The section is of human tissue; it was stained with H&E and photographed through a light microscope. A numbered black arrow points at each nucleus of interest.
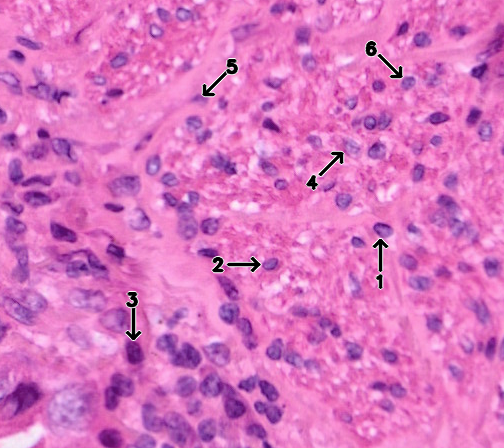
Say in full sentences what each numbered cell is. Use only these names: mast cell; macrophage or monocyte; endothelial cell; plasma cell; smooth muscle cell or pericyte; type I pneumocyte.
Cell 1 is a mast cell, cell 2 is a smooth muscle cell or pericyte, cell 3 is a plasma cell, cell 4 is a smooth muscle cell or pericyte, cell 5 is a mast cell and cell 6 is a smooth muscle cell or pericyte.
